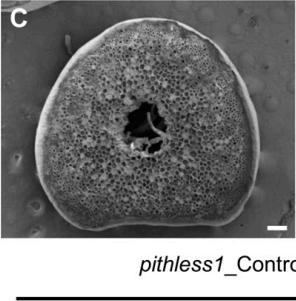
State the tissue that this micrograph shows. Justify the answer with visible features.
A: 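Stem. A round cross-section of an axial plant organ with a smooth outer rim. A central cavity lies in the middle of the section.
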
